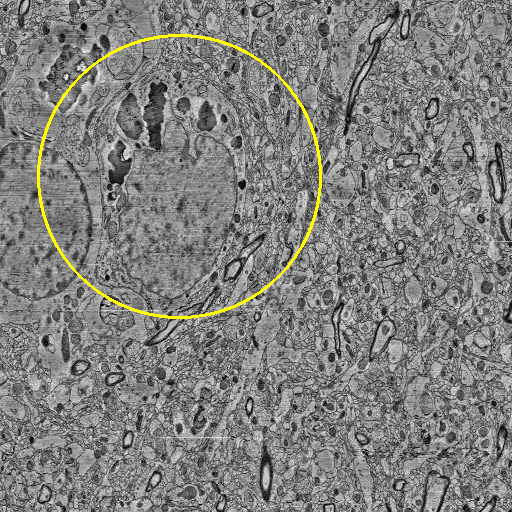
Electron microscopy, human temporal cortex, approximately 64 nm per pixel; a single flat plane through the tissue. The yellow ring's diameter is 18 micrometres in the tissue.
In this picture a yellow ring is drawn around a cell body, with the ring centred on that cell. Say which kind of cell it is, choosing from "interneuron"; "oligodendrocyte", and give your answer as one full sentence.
Here it is an interneuron that sits at the centre of the drawn yellow ring.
